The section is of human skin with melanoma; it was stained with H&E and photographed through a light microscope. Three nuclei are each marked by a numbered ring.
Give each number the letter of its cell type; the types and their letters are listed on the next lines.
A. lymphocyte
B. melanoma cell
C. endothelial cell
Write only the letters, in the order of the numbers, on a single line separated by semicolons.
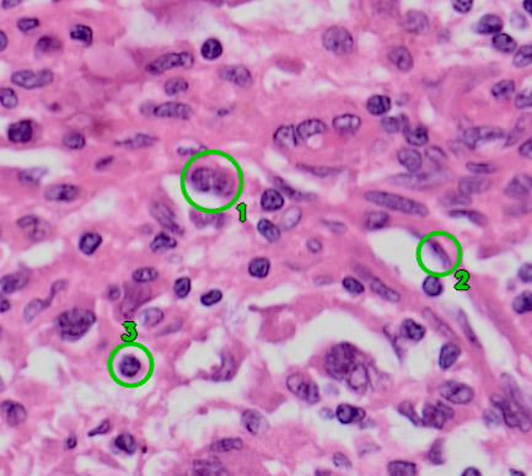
B; C; A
